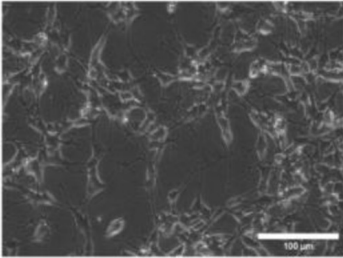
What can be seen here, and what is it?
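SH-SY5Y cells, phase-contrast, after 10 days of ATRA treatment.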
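Many cells send out long, slender processes that extend across the dish and cross or touch the processes of neighbouring cells. The cells are spread loosely rather than packed, with elongated or angular bodies from which the thin processes arise.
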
